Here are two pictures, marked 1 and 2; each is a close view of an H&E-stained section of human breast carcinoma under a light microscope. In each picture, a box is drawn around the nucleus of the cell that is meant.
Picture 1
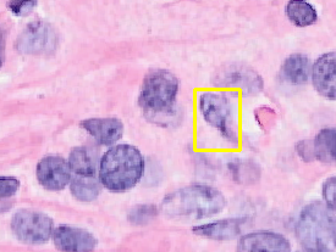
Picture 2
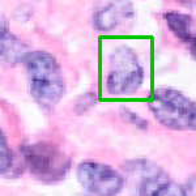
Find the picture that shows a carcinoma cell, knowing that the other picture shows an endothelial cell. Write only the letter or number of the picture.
2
